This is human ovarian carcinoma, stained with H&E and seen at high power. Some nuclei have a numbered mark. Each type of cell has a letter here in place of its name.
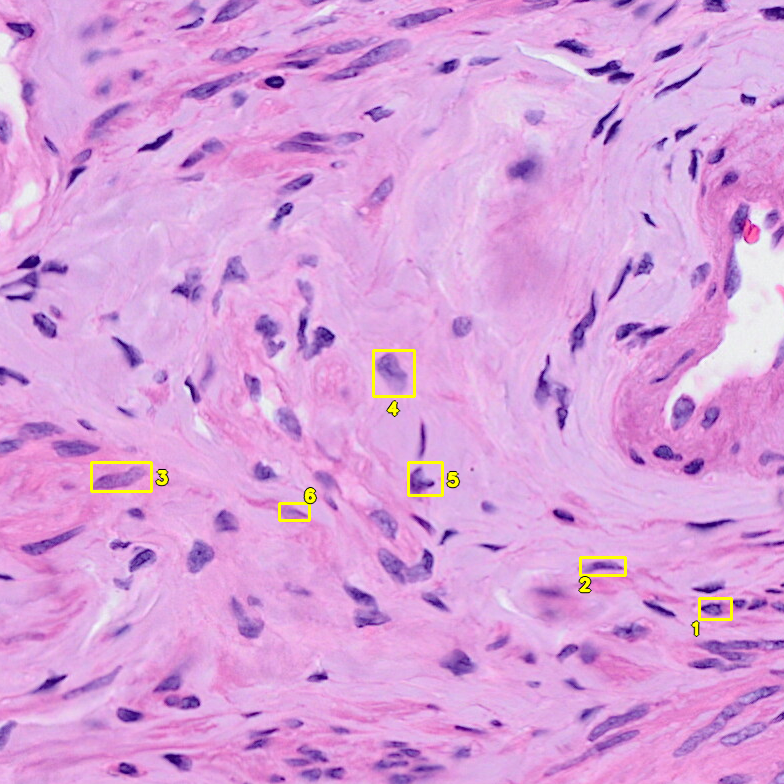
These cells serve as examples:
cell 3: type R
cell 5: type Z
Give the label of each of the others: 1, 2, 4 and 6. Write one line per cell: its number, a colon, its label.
1: type R
2: type R
4: type Z
6: type R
